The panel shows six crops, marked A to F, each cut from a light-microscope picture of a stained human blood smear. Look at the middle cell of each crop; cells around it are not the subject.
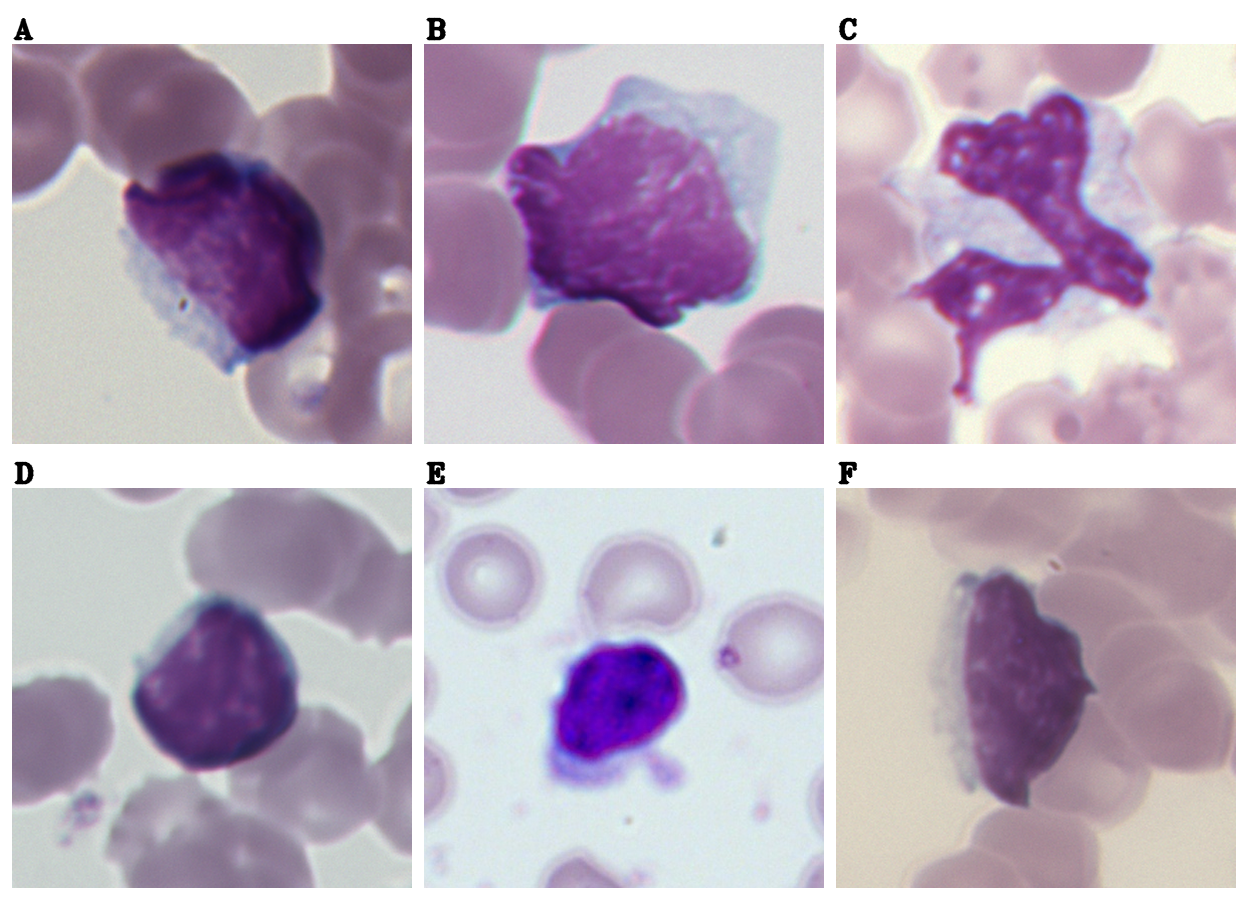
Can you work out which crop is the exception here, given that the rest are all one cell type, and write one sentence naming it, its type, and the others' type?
Crop C is the one to flag: it is a monocyte, and the rest show lymphocytes.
